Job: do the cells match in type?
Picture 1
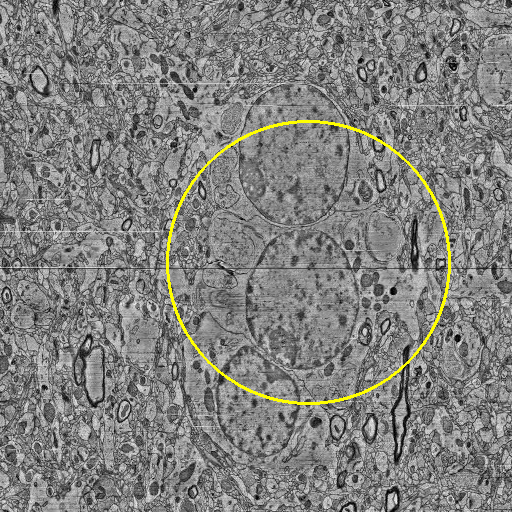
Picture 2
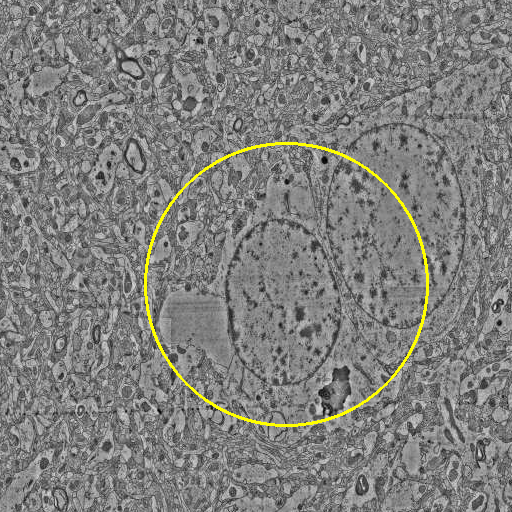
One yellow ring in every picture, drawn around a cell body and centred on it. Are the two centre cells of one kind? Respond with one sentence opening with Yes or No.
Yes, the ringed cells in the two pictures are of one and the same kind.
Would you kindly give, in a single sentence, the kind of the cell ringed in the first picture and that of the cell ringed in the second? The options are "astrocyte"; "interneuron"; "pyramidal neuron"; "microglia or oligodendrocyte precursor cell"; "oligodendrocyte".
Both pictures show an astrocyte at the centre of the ring.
